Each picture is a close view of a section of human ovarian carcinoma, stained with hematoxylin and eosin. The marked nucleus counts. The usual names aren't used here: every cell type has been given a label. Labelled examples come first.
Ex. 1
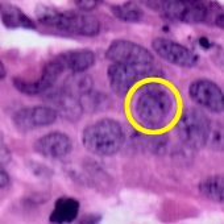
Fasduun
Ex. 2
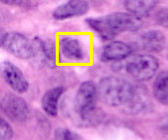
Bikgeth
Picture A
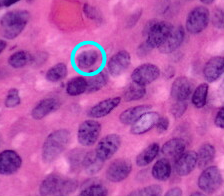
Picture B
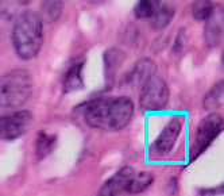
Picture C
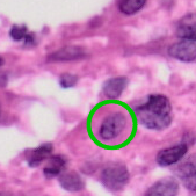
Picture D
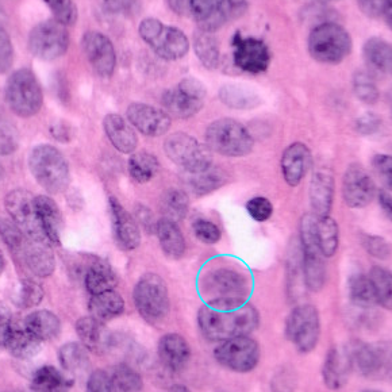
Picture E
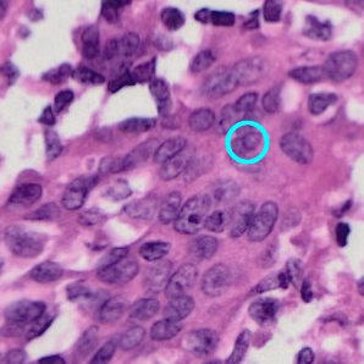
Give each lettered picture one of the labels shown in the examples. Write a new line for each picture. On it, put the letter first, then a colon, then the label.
A: Bikgeth
B: Fasduun
C: Bikgeth
D: Fasduun
E: Fasduun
